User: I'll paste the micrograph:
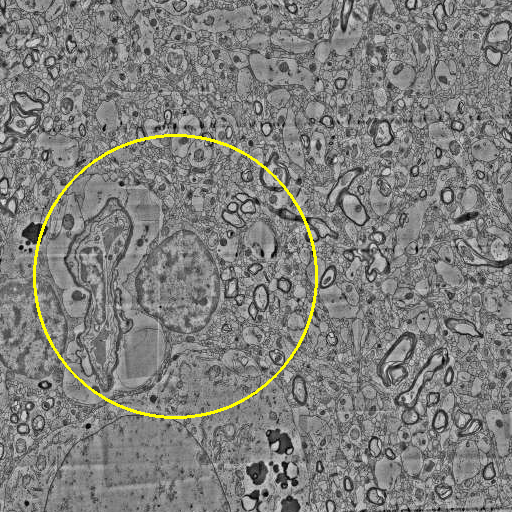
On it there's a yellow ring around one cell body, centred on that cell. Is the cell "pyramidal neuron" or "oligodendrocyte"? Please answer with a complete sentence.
The cell ringed in yellow is an oligodendrocyte.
